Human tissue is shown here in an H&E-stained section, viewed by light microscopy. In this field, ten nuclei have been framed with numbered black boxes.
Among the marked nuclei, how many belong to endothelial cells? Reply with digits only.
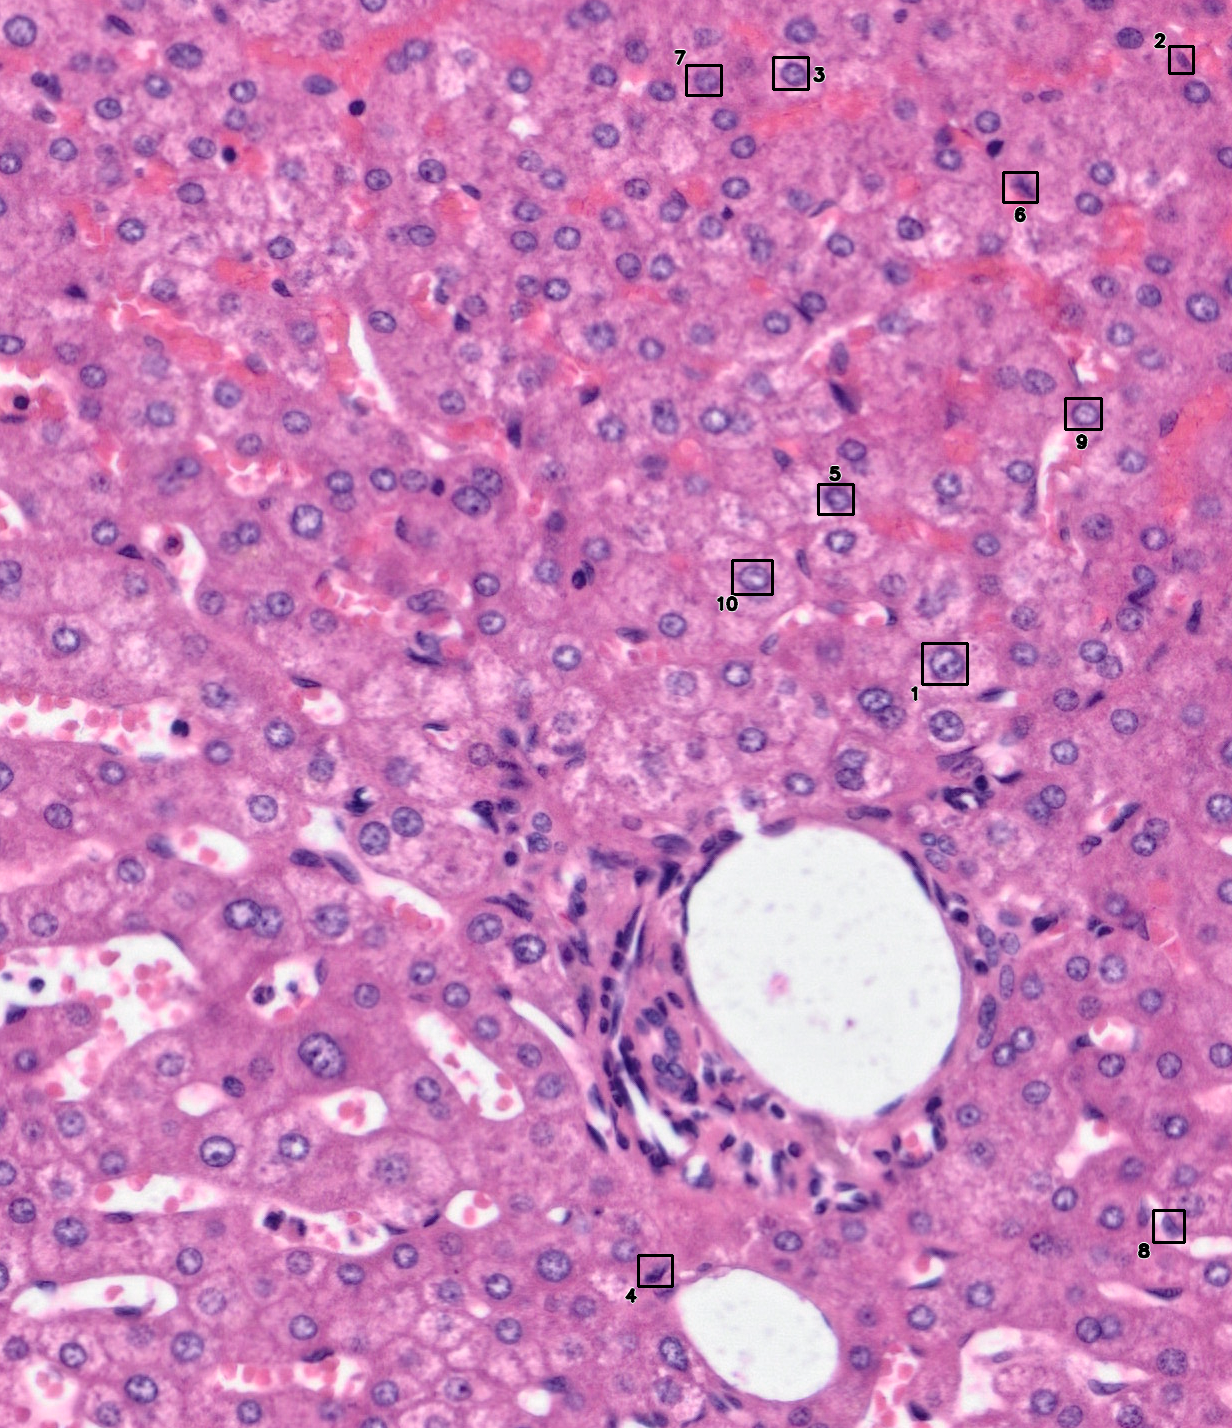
2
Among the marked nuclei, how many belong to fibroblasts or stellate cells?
2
